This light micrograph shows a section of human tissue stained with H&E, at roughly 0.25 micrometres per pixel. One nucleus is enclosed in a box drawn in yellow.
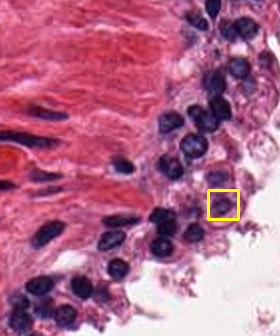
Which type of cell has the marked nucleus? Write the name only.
prostate gland luminal cell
